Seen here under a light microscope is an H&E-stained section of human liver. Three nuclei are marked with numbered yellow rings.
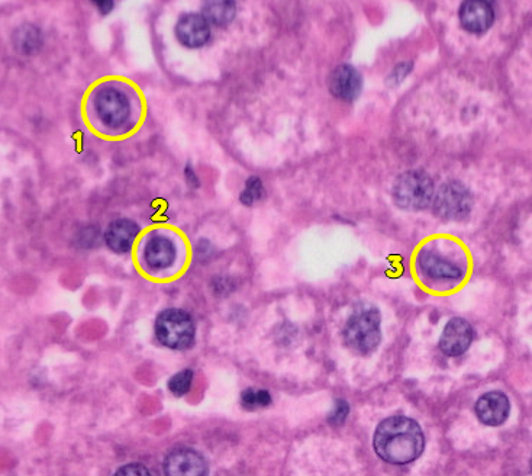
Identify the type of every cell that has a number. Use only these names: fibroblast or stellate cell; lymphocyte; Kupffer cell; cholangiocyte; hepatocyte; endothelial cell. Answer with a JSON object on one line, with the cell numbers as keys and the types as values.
{"1": "hepatocyte", "2": "hepatocyte", "3": "Kupffer cell"}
